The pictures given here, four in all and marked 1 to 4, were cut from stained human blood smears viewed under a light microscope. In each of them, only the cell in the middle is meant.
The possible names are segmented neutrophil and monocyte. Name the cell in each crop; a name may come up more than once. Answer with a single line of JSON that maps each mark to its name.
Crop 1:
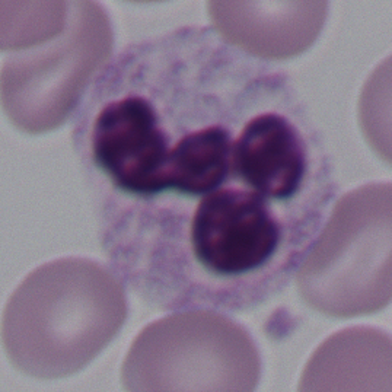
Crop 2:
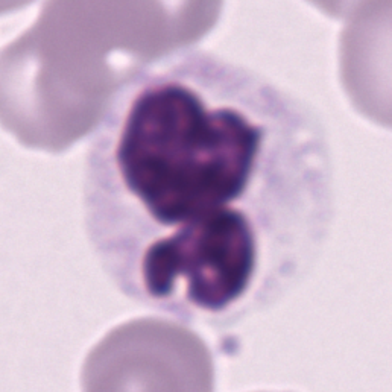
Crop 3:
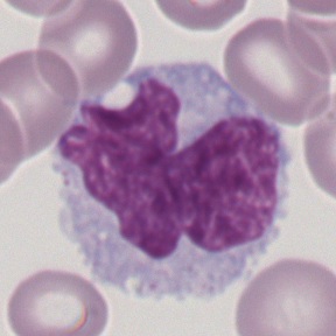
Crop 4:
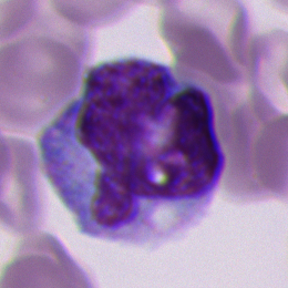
{"1": "segmented neutrophil", "2": "segmented neutrophil", "3": "monocyte", "4": "monocyte"}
